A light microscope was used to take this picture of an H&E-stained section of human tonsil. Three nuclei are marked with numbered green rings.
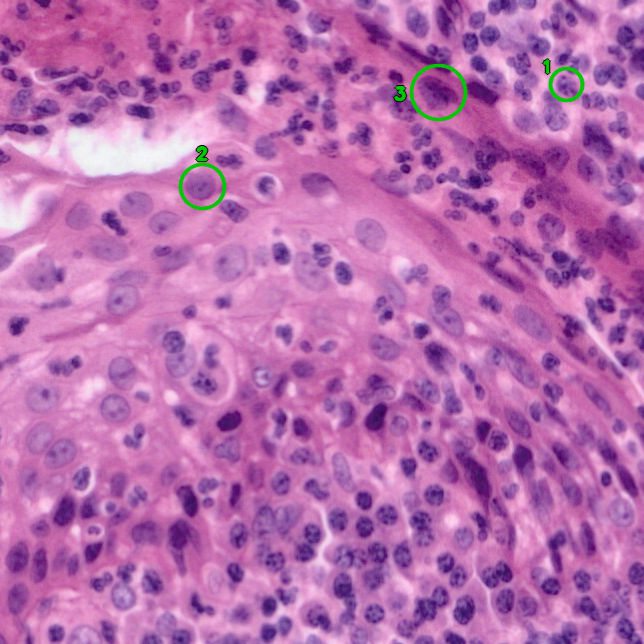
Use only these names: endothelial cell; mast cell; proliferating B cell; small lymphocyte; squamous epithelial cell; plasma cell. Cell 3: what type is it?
squamous epithelial cell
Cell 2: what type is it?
squamous epithelial cell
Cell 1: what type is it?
plasma cell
